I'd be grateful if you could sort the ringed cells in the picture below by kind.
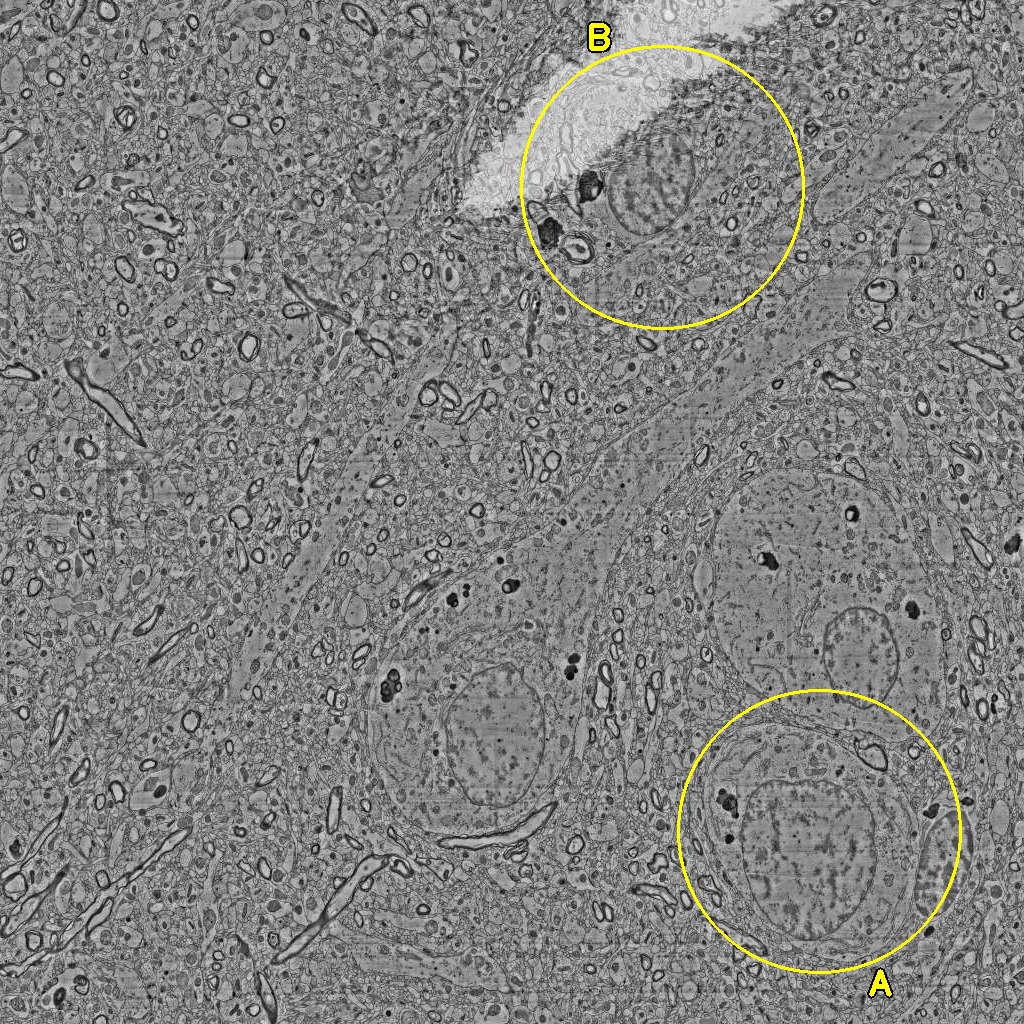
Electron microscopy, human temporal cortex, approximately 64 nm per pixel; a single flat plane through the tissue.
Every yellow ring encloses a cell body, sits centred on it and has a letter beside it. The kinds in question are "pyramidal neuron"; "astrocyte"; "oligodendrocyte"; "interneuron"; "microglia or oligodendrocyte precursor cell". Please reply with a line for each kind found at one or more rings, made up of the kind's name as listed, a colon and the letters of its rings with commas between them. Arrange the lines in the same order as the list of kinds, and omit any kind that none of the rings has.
pyramidal neuron: A
oligodendrocyte: B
